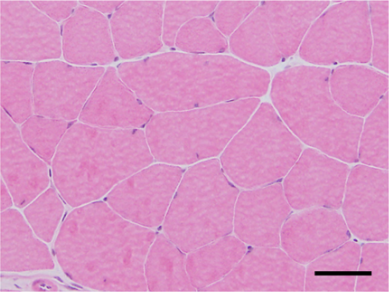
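Here skeletal muscle is seen in cross-section, the muscle fibers forming a tight mosaic of polygonal, pale pink profiles with homogeneous cytoplasm. Their nuclei are small, dark purple and lie at the periphery of each fiber, pressed against the border. Thin, pale septa of connective tissue separate neighbouring fibers, with only small triangular gaps where several corners meet.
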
